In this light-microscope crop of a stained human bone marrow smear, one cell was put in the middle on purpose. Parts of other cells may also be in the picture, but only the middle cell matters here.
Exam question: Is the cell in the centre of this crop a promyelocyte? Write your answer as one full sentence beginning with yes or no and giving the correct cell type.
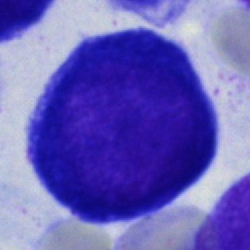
No, the central cell is classed as a proerythroblast and not as a promyelocyte.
